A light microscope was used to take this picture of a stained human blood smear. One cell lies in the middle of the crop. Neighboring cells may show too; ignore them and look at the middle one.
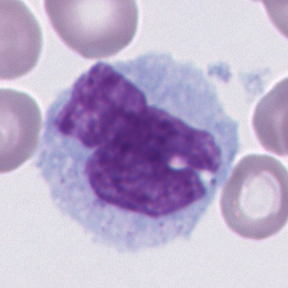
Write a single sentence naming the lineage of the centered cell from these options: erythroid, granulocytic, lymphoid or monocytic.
The lineage represented by the central cell is monocytic.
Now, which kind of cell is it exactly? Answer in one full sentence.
Classified as a monocyte is the cell in the middle of this crop.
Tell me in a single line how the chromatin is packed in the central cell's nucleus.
The nuclear chromatin is fine, showing no coarse aggregates.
